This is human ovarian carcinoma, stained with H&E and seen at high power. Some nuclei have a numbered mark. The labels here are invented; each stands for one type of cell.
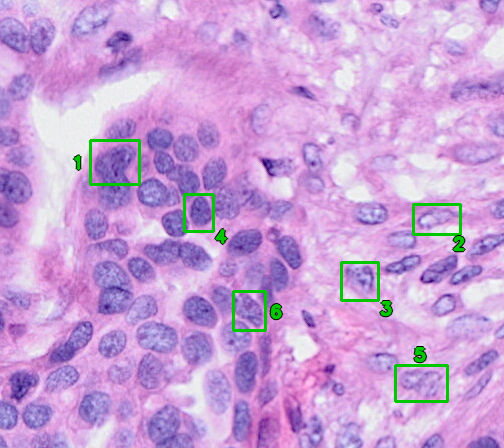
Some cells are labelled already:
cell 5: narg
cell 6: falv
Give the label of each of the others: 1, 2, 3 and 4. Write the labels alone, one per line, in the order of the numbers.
falv
narg
narg
falv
